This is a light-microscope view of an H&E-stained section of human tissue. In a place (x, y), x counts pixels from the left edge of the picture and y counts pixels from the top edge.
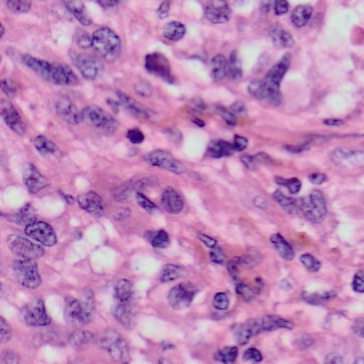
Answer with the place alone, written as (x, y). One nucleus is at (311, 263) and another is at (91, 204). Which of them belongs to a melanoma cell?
(91, 204)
